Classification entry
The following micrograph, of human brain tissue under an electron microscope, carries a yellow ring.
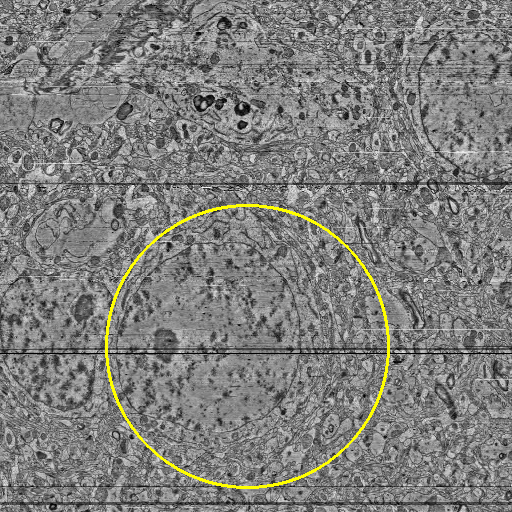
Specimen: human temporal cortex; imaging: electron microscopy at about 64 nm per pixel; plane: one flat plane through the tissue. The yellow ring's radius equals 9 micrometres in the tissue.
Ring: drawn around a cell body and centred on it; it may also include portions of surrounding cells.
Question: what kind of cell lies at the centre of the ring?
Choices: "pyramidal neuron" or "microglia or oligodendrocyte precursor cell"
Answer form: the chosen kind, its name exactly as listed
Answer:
pyramidal neuron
